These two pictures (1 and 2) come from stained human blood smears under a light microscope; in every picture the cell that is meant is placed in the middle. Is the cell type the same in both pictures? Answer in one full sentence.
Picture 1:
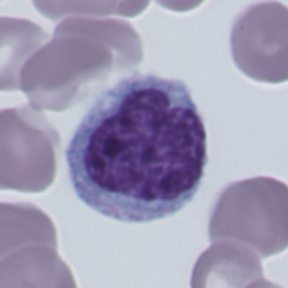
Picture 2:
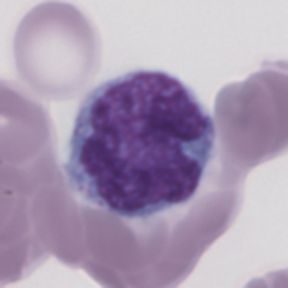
Yes; the cells in both pictures are monocytes.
